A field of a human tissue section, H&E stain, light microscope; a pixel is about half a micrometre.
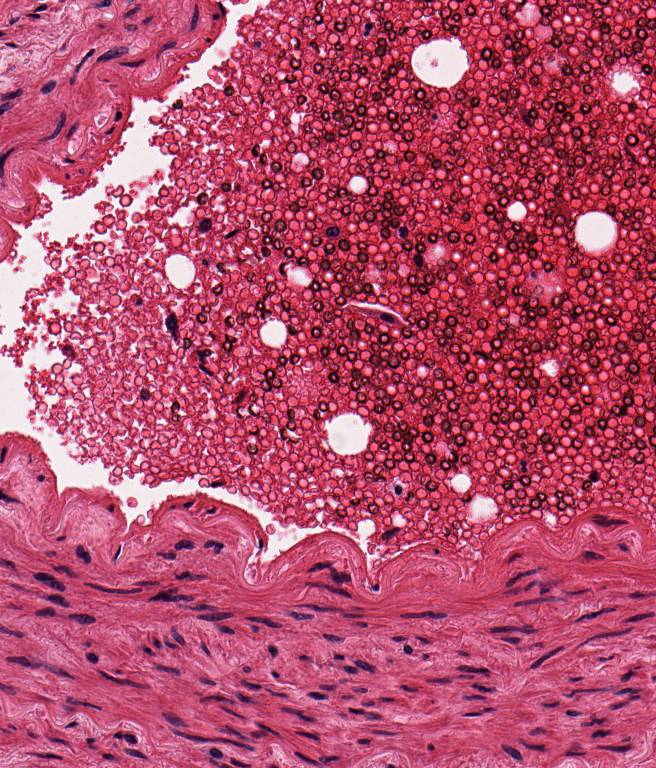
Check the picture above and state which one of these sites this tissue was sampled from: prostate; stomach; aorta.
aorta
